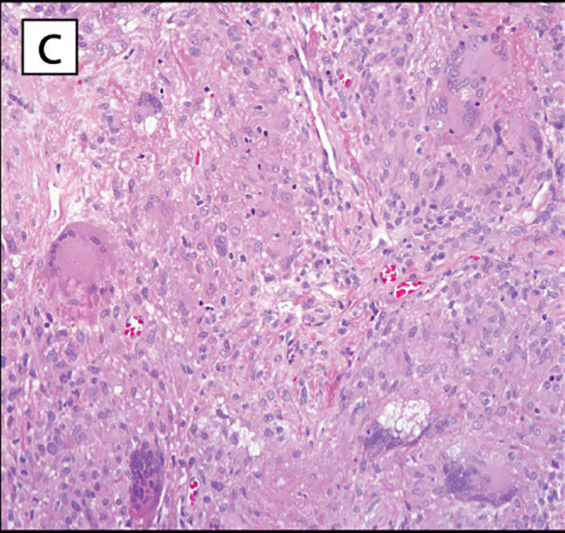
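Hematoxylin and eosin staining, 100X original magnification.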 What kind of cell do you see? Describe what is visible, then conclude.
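Several very large cells with abundant pink cytoplasm are scattered through the field. Each large cell holds many nuclei, clustered or arranged near its edge.
Answer: multinucleated giant cells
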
